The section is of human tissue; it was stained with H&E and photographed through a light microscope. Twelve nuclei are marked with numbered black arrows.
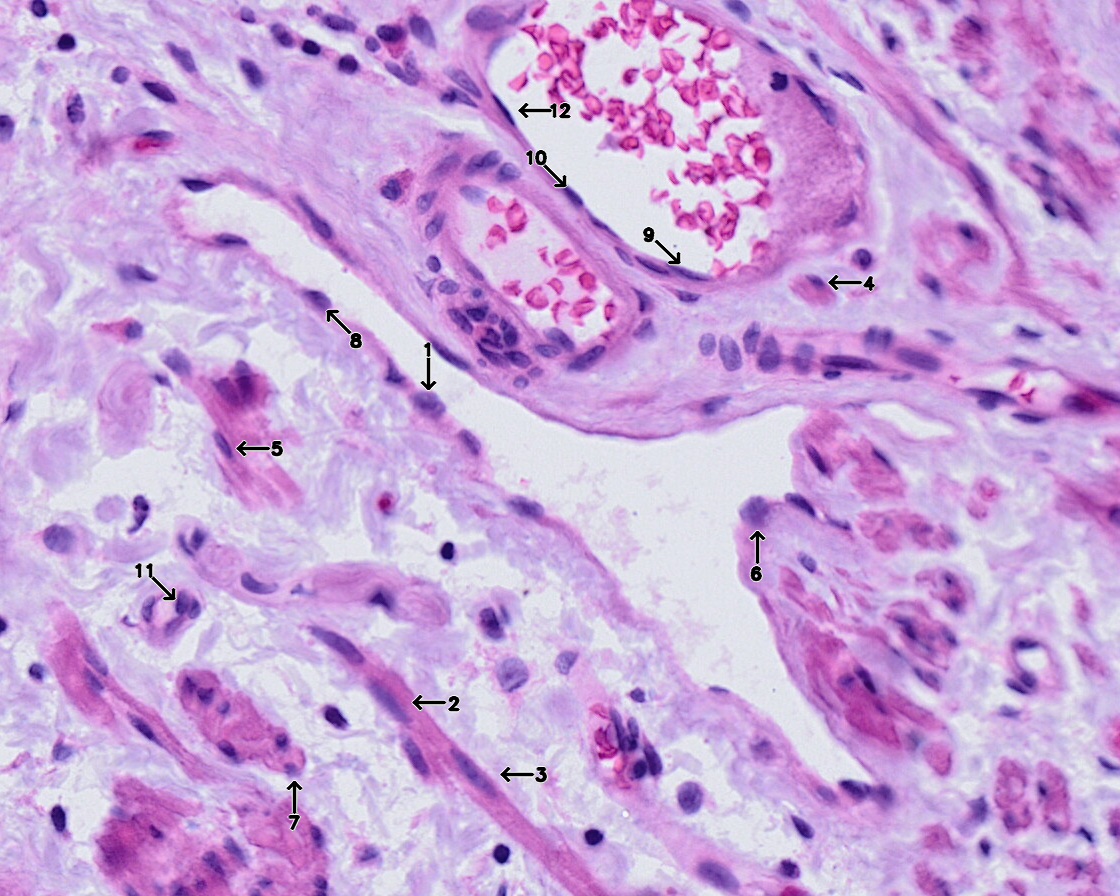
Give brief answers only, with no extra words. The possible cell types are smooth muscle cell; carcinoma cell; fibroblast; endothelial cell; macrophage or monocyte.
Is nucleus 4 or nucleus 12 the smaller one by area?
4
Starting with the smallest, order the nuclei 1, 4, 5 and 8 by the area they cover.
4, 5, 8, 1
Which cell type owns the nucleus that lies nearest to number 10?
endothelial cell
